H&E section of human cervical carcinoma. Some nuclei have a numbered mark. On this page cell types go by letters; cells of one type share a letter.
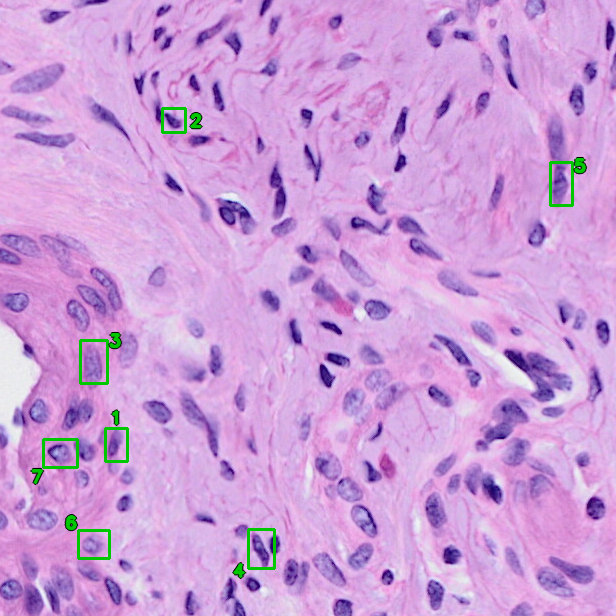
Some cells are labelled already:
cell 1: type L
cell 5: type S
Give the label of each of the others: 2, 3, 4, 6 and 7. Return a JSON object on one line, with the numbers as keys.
{"2": "type S", "3": "type L", "4": "type S", "6": "type L", "7": "type L"}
